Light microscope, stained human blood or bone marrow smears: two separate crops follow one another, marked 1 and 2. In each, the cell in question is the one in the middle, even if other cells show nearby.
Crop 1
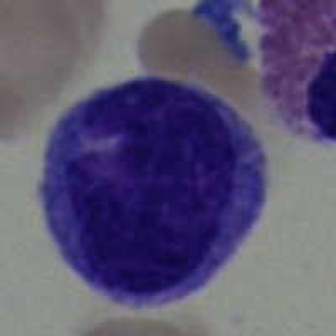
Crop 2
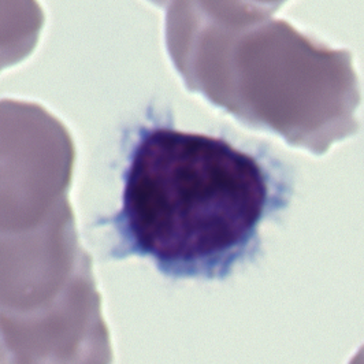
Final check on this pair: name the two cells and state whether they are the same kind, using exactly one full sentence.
No, in fact crop 1 shows a monocyte, and crop 2 shows a hairy cell.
